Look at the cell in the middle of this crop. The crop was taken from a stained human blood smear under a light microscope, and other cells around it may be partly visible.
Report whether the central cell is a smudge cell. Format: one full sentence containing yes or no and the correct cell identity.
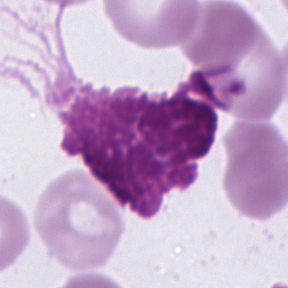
Yes, the cell that lies centrally is a smudge cell.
